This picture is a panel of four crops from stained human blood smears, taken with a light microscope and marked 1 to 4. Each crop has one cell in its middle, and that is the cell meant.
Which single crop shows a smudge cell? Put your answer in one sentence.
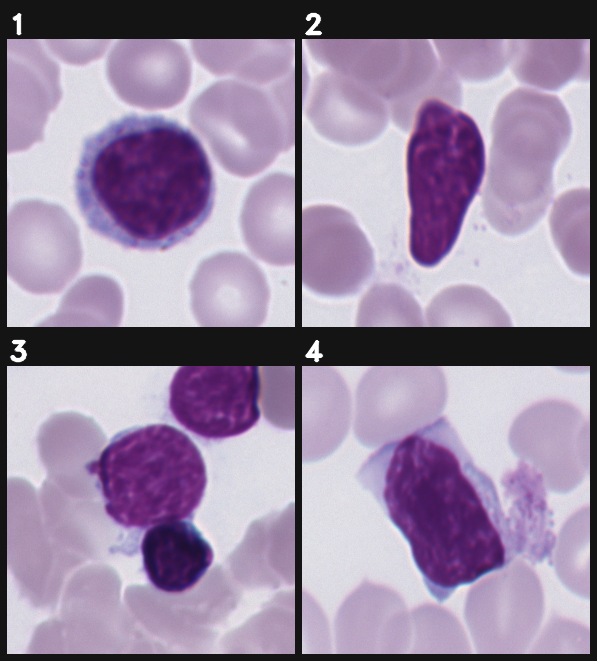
Of the crops shown, crop 2 depicts a smudge cell.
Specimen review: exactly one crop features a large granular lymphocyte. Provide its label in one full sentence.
Among these crops, crop 4 holds a large granular lymphocyte.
